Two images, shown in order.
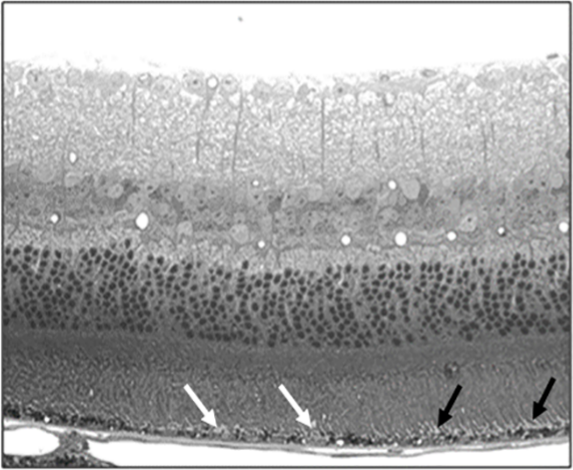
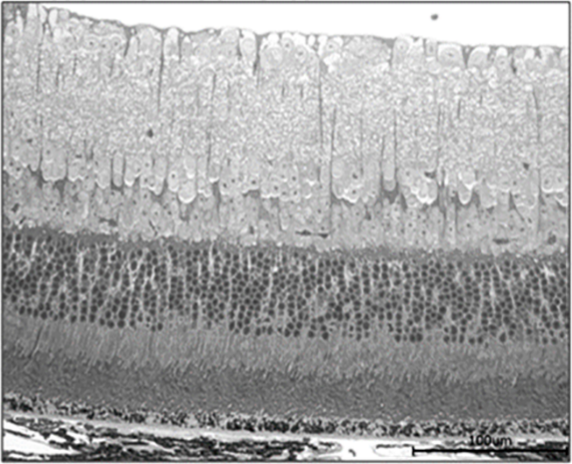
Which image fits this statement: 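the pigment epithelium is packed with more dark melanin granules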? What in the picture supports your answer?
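Second image: the basal epithelial band is a thick, continuous row of dense dark granules. First image: the basal epithelial band is thinner and paler, with gaps in its dark granules.
Conclusion: the second image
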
